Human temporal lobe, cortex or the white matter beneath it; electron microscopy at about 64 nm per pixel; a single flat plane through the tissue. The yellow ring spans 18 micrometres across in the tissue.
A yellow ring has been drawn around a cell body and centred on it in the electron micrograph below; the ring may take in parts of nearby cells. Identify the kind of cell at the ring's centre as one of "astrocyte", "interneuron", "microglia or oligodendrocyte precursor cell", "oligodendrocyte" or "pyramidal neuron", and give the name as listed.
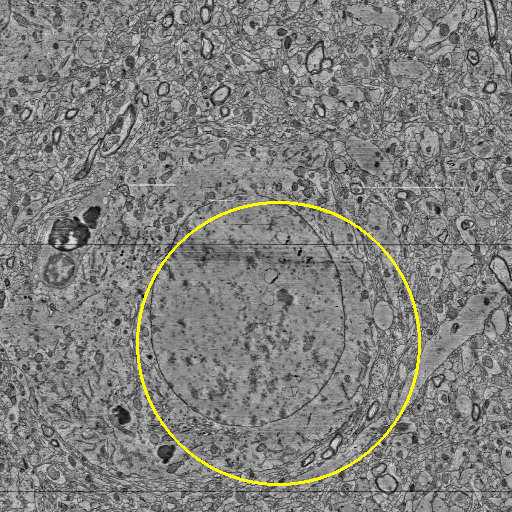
pyramidal neuron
